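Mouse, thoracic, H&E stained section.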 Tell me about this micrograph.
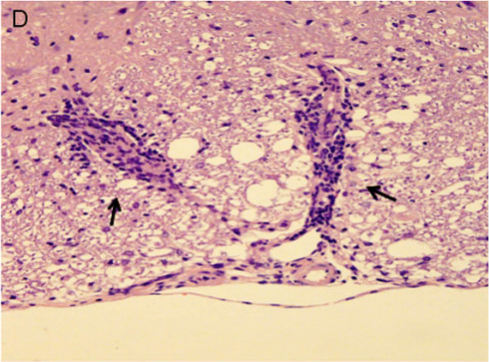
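This high-power view of spinal cord white matter near the surface shows two inflammatory lesions as dense cuffs of small cells packed around blood vessels. The cuffing cells have small, round, darkly purple-staining nuclei with scant cytoplasm and form elongated bands that follow the vessels inward from the surface. The surrounding pale pink tissue is riddled with clear round vacuoles of varying size. Scattered single oval nuclei of resident cells lie between the vacuoles. Along the bottom edge a thin surface layer of flattened cells with small vessels covers the cord.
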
